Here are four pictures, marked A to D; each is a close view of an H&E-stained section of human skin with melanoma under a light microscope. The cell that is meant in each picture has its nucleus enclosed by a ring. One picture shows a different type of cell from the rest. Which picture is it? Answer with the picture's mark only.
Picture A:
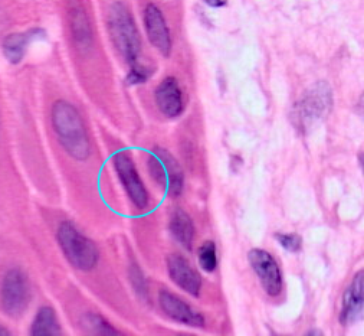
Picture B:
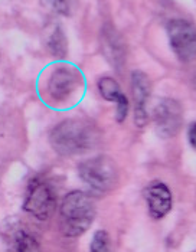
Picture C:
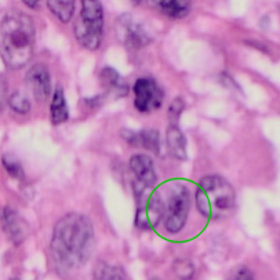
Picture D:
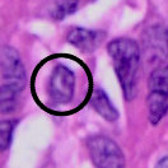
A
